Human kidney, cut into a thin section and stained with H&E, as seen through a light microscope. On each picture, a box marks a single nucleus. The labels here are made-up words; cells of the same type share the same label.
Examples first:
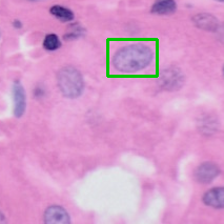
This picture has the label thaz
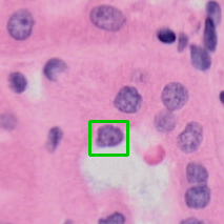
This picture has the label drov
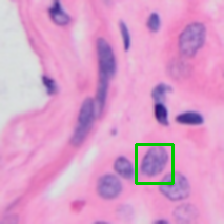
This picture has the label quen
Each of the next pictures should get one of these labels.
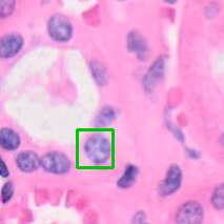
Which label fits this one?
quen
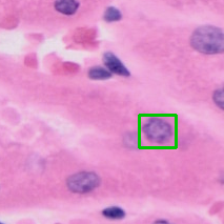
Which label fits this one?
thaz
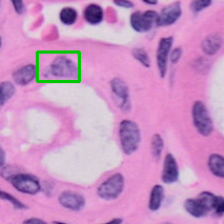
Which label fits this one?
quen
